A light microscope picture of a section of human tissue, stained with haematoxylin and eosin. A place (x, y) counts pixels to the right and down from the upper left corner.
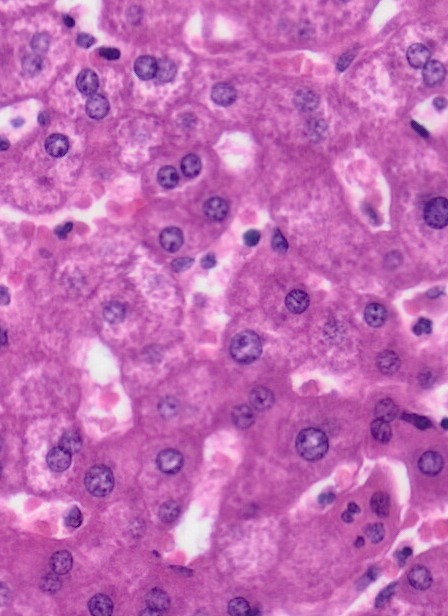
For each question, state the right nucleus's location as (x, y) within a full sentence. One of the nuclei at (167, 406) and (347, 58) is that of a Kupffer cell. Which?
The nucleus at (347, 58) is the one of the two that belongs to a Kupffer cell.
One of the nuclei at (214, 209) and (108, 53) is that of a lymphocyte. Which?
The nucleus positioned at (108, 53) forms part of a lymphocyte.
